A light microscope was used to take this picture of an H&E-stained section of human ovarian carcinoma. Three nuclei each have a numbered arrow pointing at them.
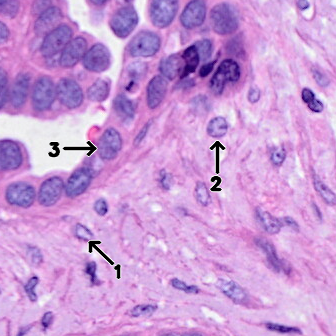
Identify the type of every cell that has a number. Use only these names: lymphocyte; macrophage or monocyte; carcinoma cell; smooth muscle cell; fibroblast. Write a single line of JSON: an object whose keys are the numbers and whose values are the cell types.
{"1": "fibroblast", "2": "macrophage or monocyte", "3": "carcinoma cell"}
